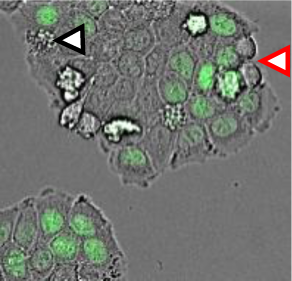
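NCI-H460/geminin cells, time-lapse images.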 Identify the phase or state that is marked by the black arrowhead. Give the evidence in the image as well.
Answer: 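Dying. The marked cell is a cluster of small bright round fragments. Neighbouring cells at the colony edge are rounded and refractile.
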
